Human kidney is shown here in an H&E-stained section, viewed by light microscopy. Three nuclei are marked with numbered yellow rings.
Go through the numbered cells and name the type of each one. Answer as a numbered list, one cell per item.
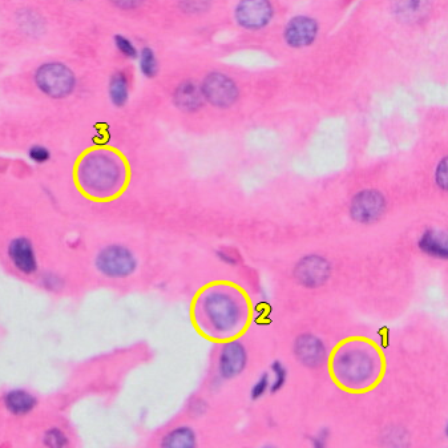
1. proximal tubule cell
2. loop of Henle or distal tubule cell
3. proximal tubule cell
